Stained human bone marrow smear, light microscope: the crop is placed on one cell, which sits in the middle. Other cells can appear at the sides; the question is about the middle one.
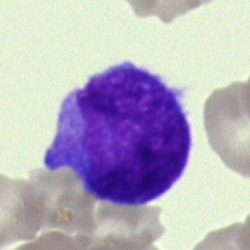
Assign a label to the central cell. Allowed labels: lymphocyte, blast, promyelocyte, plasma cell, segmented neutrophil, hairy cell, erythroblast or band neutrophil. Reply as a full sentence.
Here the centrally located cell is a blast.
